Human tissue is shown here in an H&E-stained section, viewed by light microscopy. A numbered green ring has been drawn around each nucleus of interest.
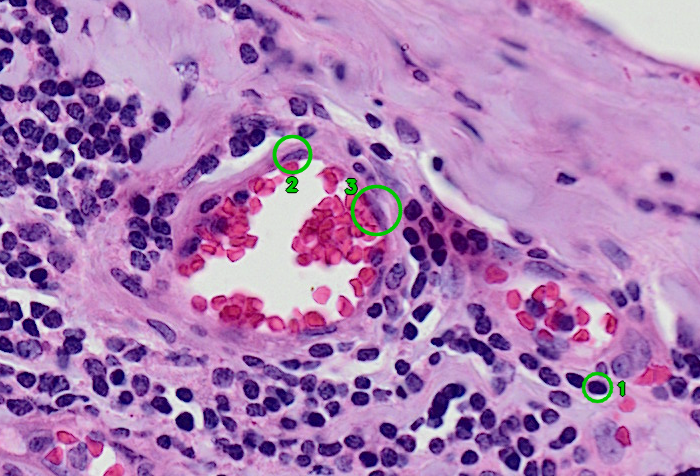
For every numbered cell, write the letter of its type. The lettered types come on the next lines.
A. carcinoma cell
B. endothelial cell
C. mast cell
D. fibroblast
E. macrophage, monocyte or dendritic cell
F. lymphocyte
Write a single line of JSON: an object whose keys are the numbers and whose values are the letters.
{"1": "F", "2": "B", "3": "B"}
